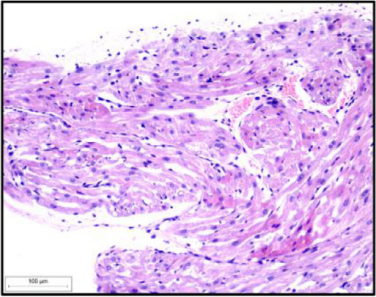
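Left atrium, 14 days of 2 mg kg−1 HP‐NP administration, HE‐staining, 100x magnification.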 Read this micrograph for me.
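Bundles of heart muscle cells run obliquely across the field, their cytoplasm stained pink and their nuclei dark purple and elongated. Between and within the fibres there are pale, clear spaces, so the muscle looks loosened and holed rather than uniformly compact. Some small, darker nuclei lie between the fibres along the upper surface. The clearing within the muscle cells fits vacuolar degeneration of the myocytes.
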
